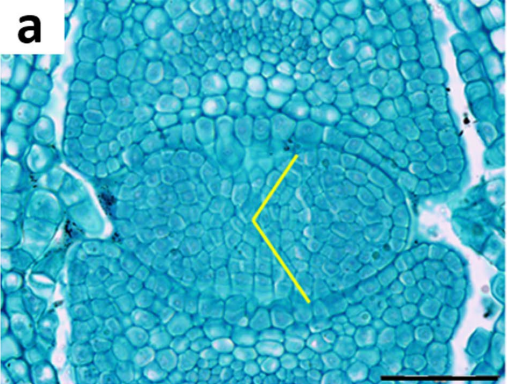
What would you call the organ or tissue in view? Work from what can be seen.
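A dome of small densely packed cells at the centre. Larger, more vacuolated cells lie at the periphery. So: shoot apex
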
